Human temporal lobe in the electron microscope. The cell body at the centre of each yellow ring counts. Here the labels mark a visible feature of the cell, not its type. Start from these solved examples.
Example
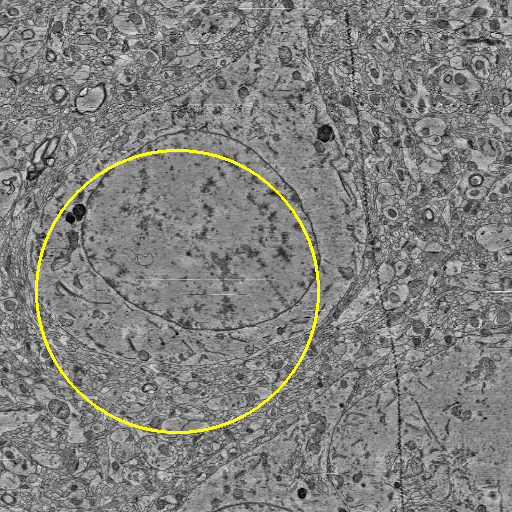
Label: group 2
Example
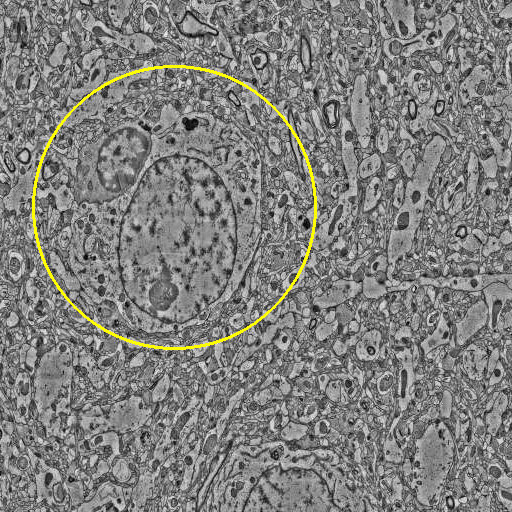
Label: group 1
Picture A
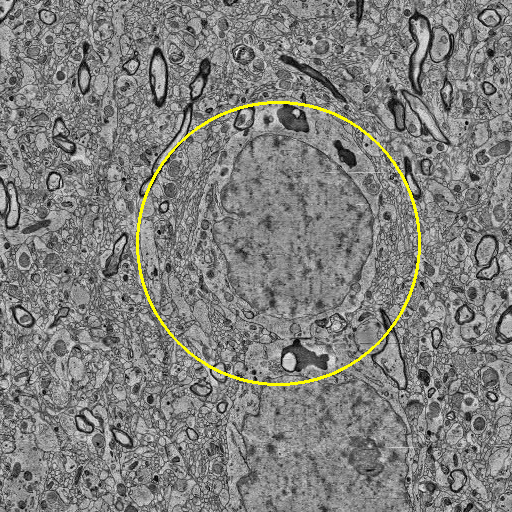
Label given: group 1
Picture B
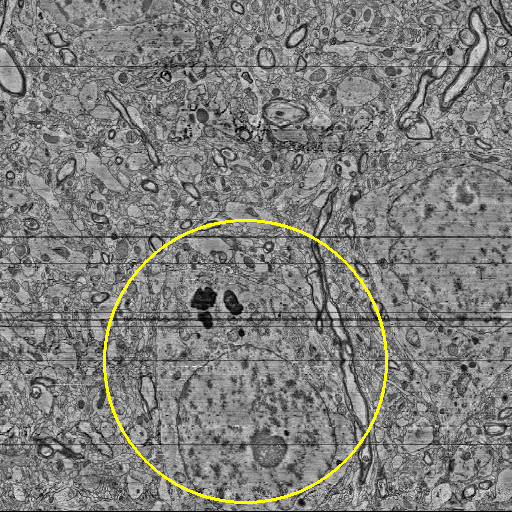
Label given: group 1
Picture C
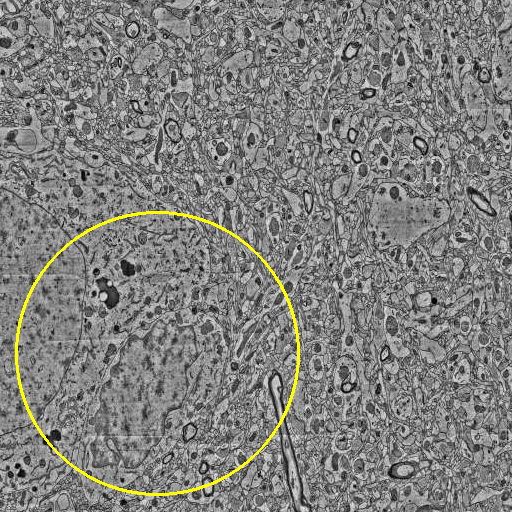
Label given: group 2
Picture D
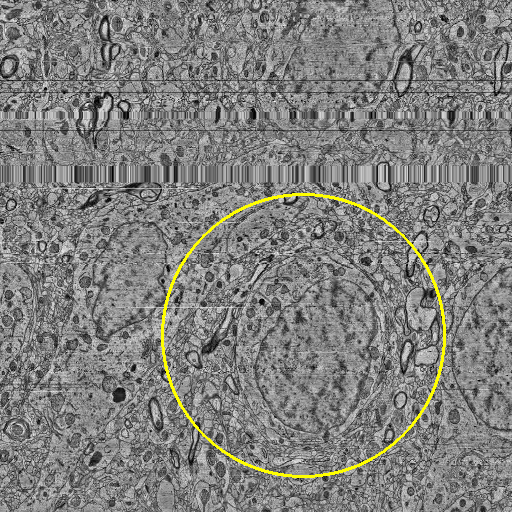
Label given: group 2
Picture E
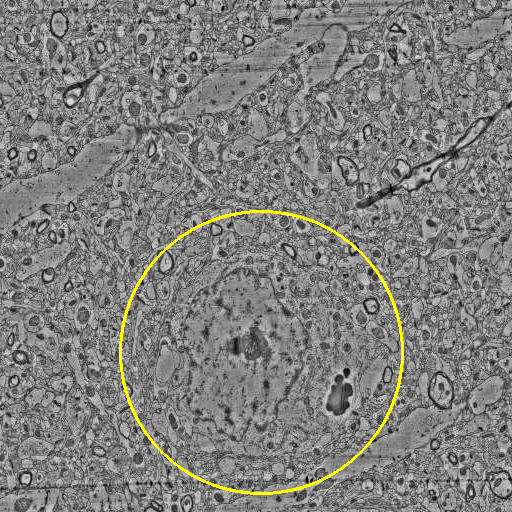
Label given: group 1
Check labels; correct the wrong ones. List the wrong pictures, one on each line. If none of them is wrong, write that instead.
A should be group 2, not group 1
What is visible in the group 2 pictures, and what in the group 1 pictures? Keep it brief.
group 2: no nucleolus seen; group 1: nucleolus seen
